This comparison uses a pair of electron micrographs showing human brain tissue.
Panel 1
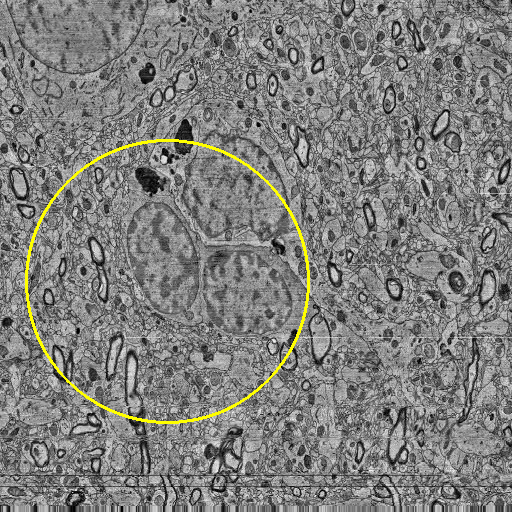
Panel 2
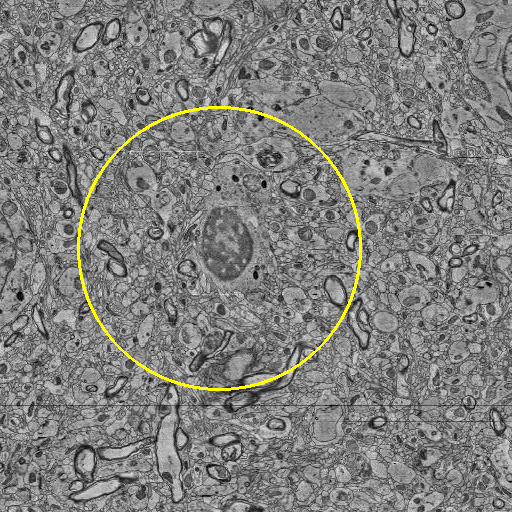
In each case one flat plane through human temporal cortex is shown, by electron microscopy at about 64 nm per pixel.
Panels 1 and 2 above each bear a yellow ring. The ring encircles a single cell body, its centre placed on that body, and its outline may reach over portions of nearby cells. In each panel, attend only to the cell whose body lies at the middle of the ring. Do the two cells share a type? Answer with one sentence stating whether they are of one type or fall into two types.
In Panel 1 and Panel 2, the cells at the centres of the rings are of one type.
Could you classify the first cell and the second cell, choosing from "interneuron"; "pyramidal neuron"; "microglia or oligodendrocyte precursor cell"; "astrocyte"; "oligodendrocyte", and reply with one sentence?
Both pictures show an oligodendrocyte at the centre of the ring.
